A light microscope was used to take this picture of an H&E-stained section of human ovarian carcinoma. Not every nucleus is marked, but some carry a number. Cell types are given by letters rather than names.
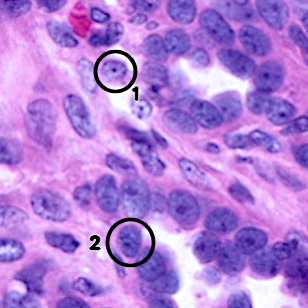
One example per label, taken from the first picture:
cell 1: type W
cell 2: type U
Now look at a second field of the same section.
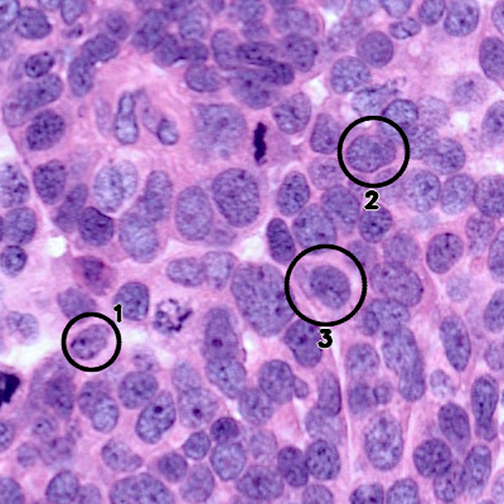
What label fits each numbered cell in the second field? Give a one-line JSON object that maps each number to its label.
{"1": "type W", "2": "type U", "3": "type U"}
